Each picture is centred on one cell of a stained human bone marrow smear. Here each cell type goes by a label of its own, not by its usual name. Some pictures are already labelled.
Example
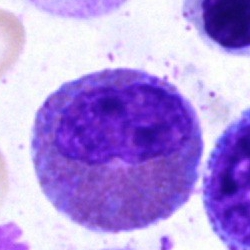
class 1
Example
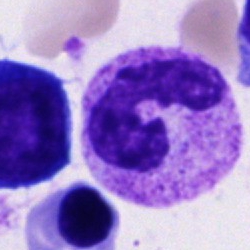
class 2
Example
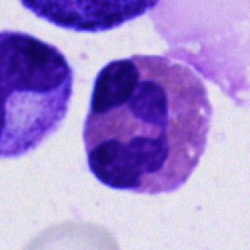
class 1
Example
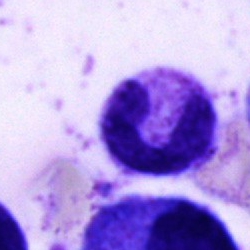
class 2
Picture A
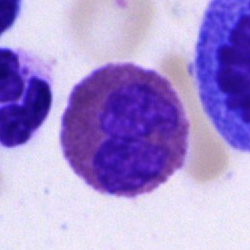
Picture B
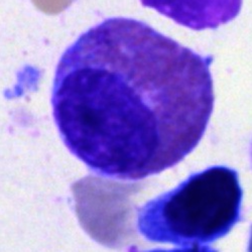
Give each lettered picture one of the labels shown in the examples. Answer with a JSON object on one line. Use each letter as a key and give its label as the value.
{"A": "class 1", "B": "class 1"}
